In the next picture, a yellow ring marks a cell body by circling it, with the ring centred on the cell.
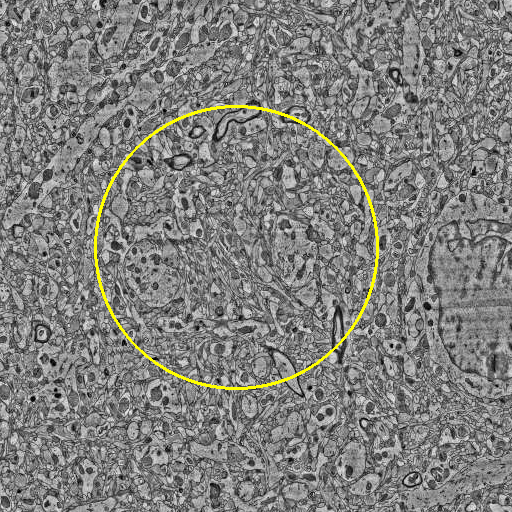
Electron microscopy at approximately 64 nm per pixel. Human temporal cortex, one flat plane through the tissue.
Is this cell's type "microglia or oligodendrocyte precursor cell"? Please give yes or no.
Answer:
no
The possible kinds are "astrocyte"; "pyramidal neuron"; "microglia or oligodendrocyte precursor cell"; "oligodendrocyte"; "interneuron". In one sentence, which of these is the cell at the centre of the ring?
The correct answer is that the cell is an oligodendrocyte.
